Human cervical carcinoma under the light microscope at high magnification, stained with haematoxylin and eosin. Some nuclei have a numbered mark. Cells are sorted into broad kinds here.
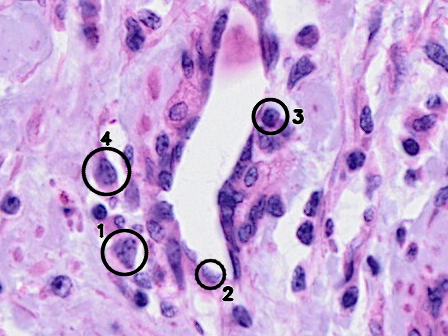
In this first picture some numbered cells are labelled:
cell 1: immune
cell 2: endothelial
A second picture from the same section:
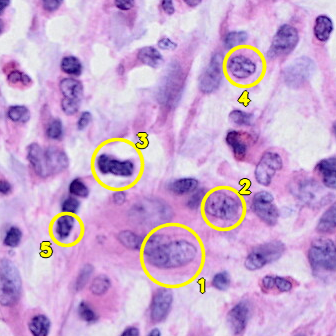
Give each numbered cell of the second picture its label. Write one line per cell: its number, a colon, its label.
1: endothelial
2: endothelial
3: immune
4: immune
5: immune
